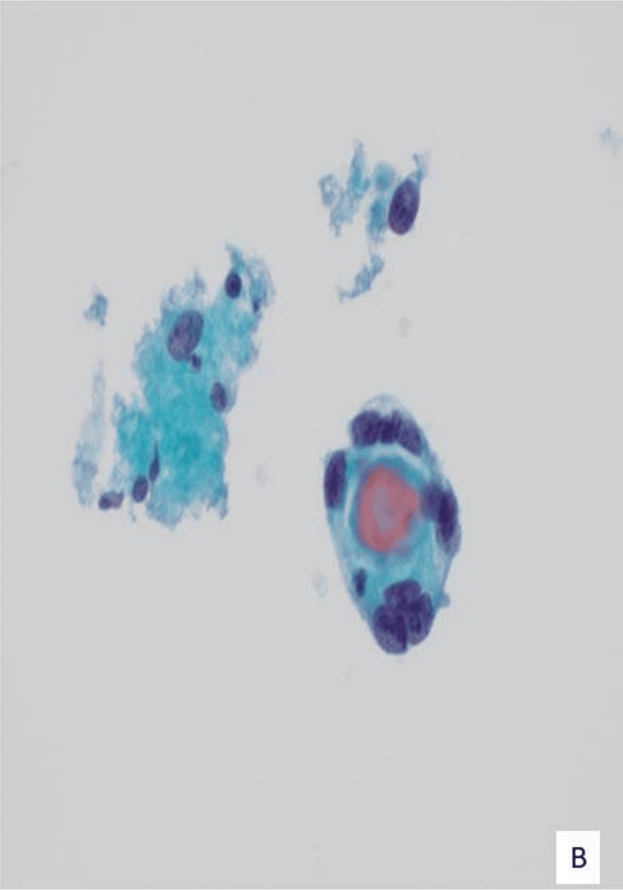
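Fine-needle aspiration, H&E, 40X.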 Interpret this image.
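On the right, cells with dark purple, round to oval nuclei are arranged in a small ring around a central pink-orange globule, forming a microfollicular structure. The nuclei at the edges of this group are crowded and somewhat overlapping. On the left lies a loose fragment of pale blue-green material containing a few scattered cells with oval nuclei. A single isolated cell with an oval nucleus lies in another small fragment at the top.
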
